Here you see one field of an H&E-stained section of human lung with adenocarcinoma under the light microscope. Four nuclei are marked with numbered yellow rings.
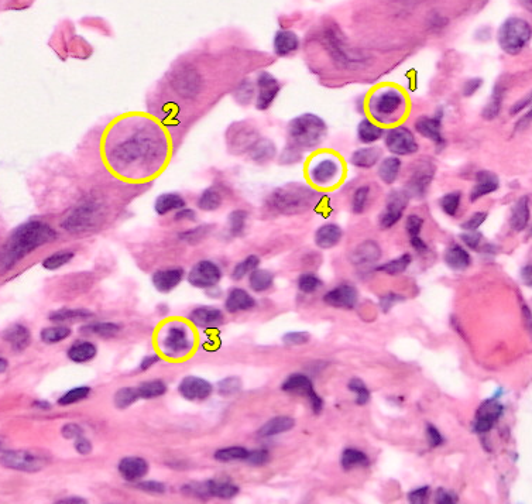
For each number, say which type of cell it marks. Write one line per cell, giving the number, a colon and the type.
1: lymphocyte
2: carcinoma cell
3: lymphocyte
4: lymphocyte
